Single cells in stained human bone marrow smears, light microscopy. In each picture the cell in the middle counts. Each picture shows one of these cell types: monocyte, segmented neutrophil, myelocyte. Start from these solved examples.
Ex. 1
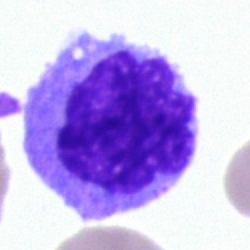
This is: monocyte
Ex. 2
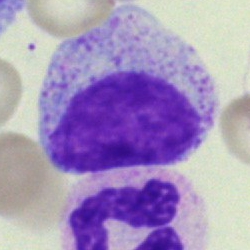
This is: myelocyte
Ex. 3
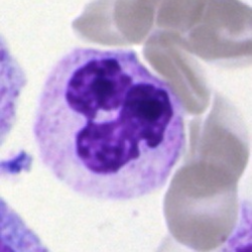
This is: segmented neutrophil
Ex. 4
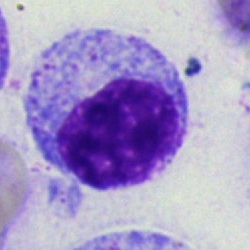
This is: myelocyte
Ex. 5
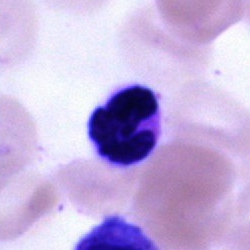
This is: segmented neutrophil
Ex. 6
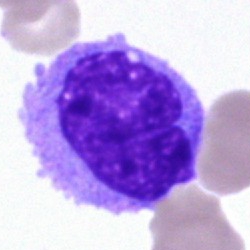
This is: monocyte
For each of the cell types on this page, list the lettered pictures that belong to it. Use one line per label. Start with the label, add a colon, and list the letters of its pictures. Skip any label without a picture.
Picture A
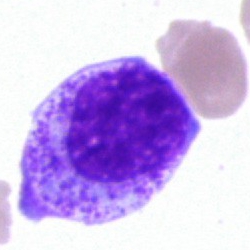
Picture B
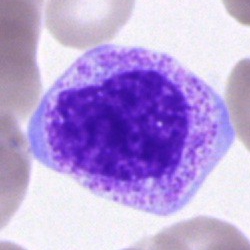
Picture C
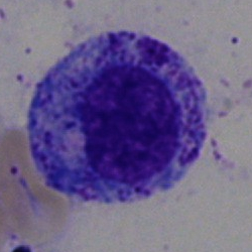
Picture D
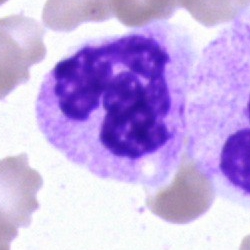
segmented neutrophil: D
myelocyte: A, B, C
